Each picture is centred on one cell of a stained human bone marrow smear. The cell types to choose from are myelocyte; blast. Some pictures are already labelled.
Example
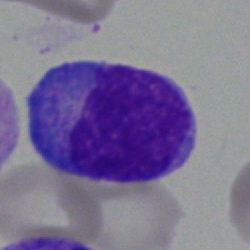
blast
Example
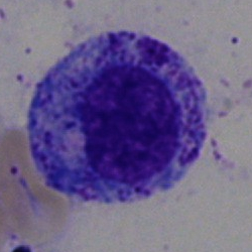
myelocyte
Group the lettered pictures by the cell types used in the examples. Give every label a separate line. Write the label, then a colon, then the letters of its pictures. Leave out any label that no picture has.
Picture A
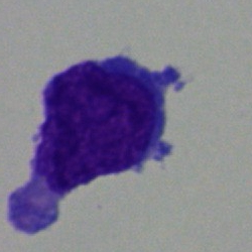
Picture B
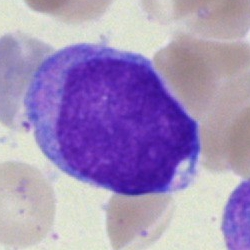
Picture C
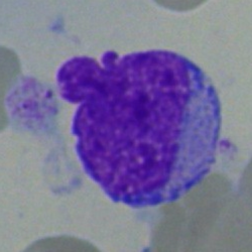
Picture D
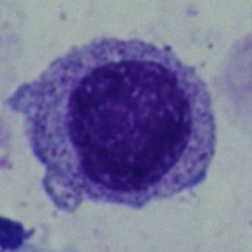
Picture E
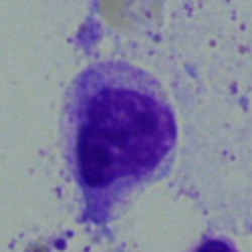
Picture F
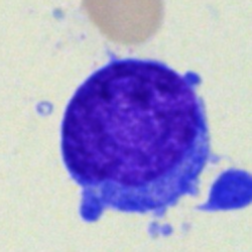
myelocyte: D, E
blast: A, B, C, F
